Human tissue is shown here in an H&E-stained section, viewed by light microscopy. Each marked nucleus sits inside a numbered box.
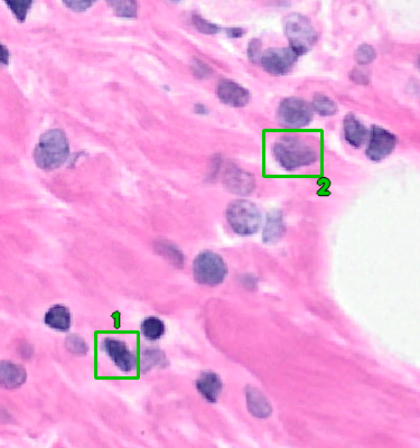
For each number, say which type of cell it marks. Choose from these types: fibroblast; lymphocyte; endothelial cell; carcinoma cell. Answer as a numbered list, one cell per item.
1. lymphocyte
2. carcinoma cell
